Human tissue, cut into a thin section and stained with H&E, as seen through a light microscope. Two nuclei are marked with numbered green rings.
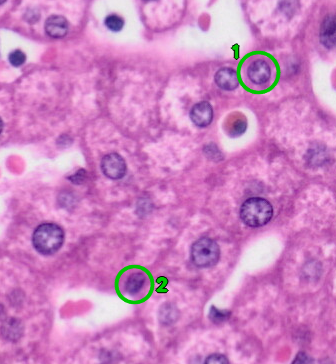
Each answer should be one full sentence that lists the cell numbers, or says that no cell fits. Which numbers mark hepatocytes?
There is just one numbered cell that is a hepatocyte, and it is cell 1.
